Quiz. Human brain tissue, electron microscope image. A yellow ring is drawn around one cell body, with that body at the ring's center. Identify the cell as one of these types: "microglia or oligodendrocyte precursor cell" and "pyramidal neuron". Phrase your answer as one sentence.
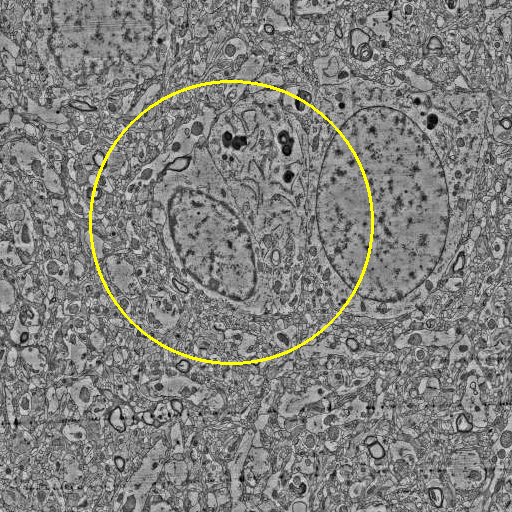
At the center of the ring sits a microglial cell or oligodendrocyte precursor cell.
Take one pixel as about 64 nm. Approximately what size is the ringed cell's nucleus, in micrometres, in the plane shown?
About 8 by 5 micrometers in this plane, so the nucleus is clearly longer than it is wide.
